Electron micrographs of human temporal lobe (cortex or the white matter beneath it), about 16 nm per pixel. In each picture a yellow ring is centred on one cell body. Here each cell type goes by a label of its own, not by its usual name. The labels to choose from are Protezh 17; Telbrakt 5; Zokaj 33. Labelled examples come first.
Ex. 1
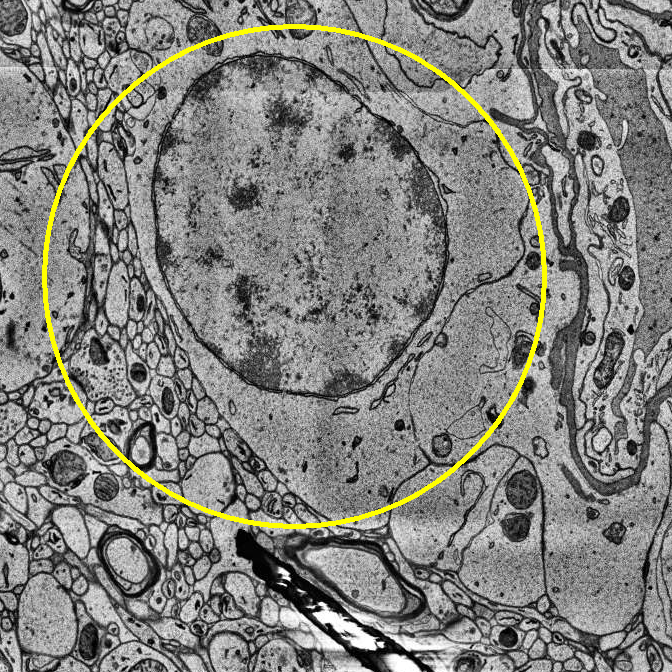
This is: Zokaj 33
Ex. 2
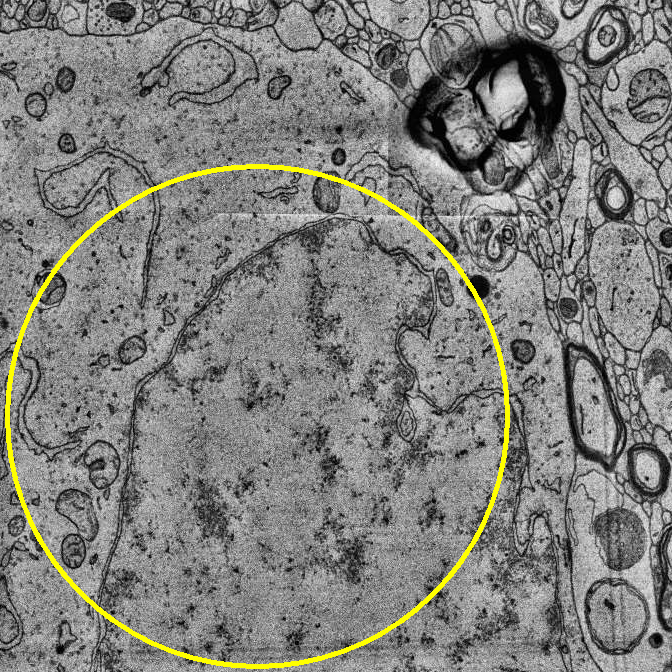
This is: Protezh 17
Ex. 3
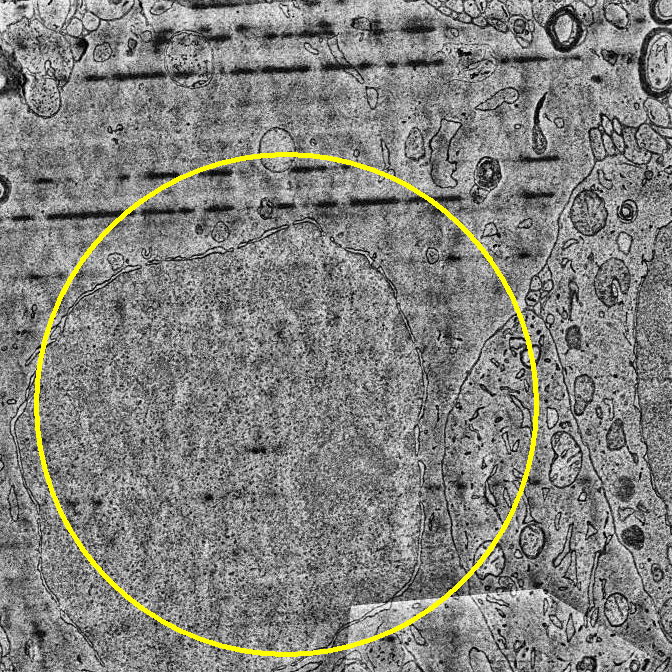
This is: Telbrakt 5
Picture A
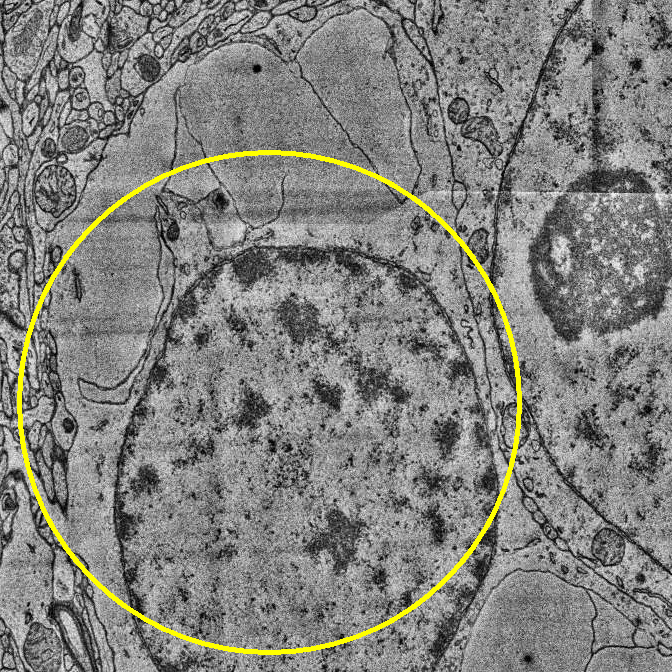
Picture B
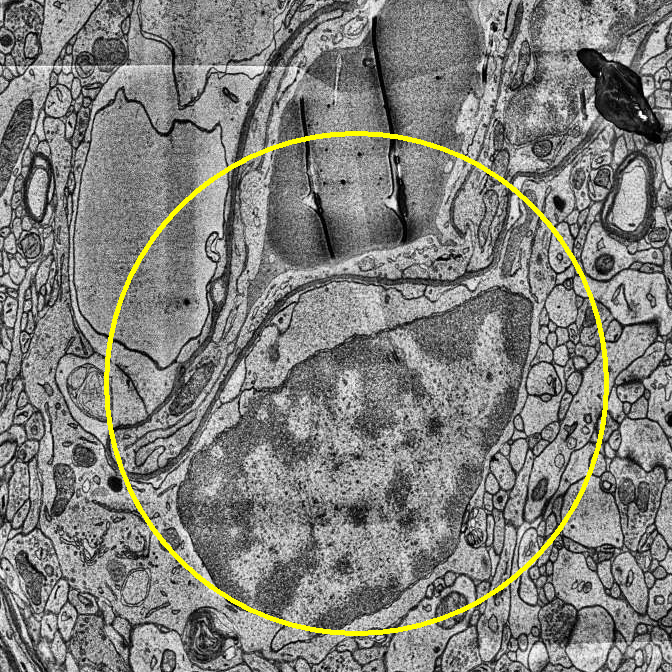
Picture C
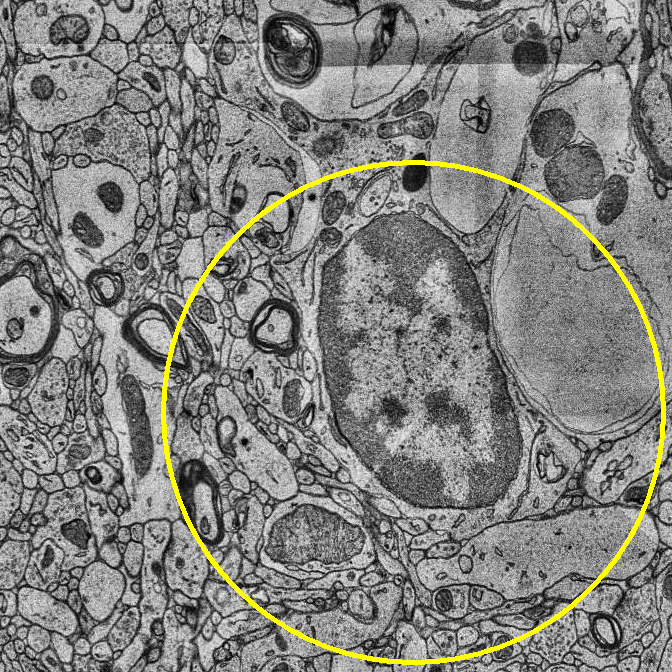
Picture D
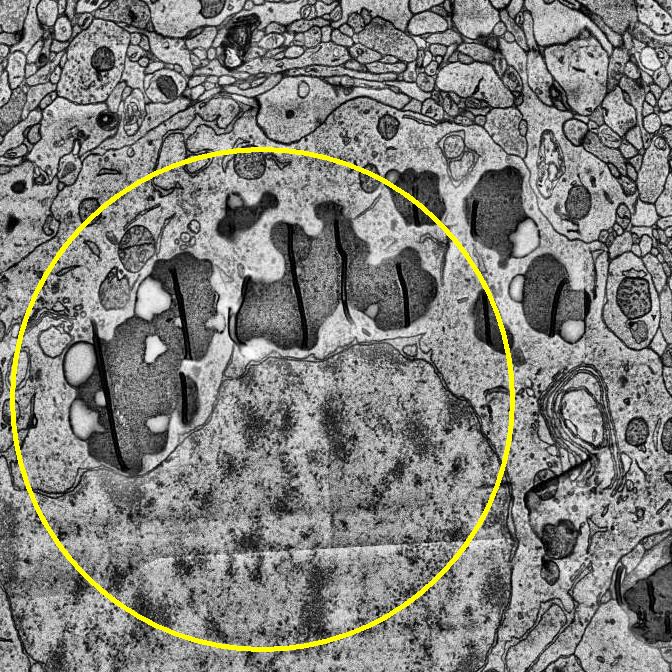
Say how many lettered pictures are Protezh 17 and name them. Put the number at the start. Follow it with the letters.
1, namely D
